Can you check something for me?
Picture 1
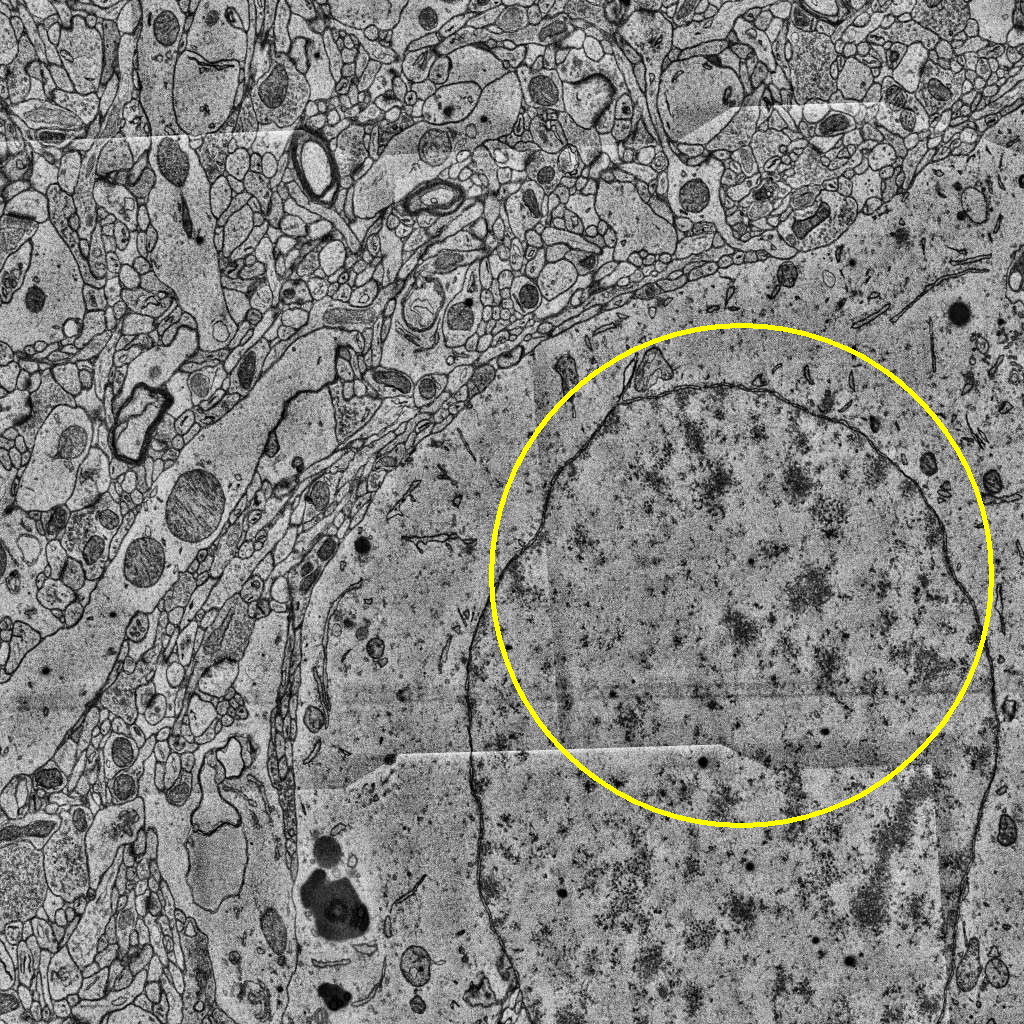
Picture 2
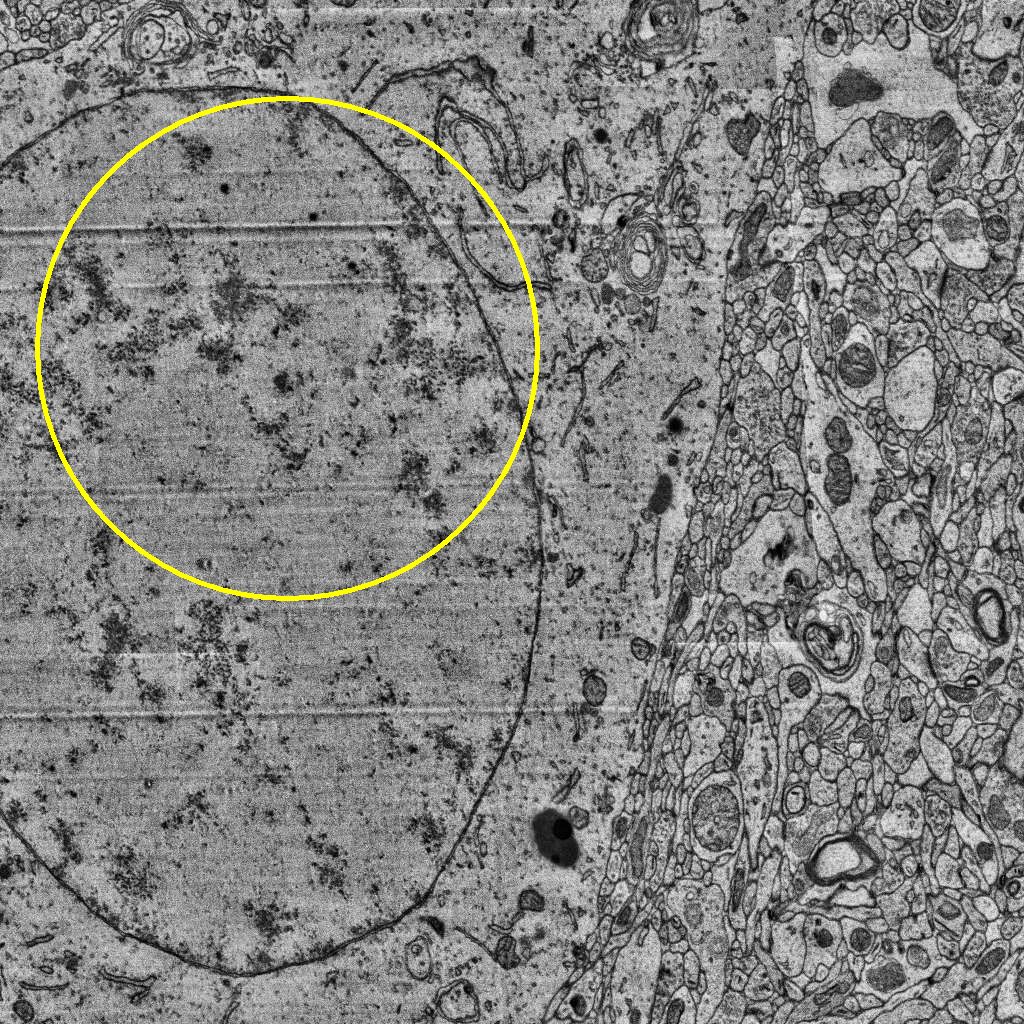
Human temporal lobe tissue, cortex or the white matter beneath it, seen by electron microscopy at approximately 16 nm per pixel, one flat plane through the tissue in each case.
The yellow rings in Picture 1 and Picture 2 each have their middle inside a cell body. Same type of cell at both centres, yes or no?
yes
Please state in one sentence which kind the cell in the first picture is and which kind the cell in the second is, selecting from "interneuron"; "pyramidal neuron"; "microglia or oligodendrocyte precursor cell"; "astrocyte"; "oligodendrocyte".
Each of the two cells is a pyramidal neuron.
